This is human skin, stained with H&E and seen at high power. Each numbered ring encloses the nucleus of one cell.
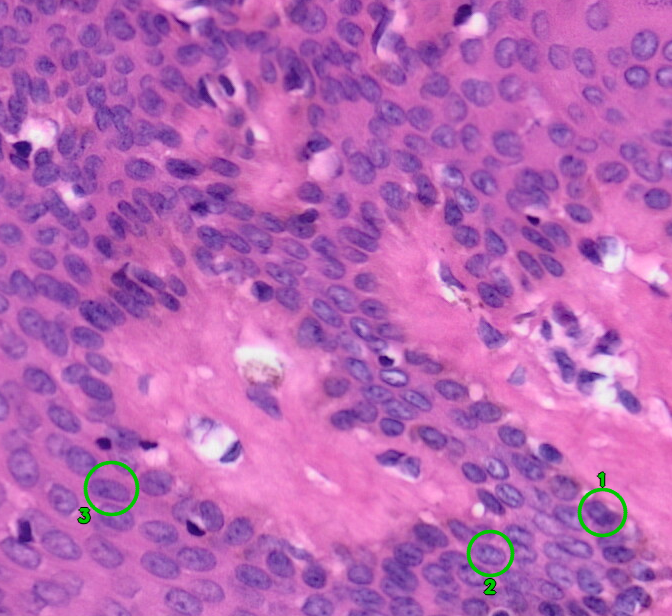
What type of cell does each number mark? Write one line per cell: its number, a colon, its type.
1: basal keratinocyte
2: suprabasal keratinocyte
3: suprabasal keratinocyte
